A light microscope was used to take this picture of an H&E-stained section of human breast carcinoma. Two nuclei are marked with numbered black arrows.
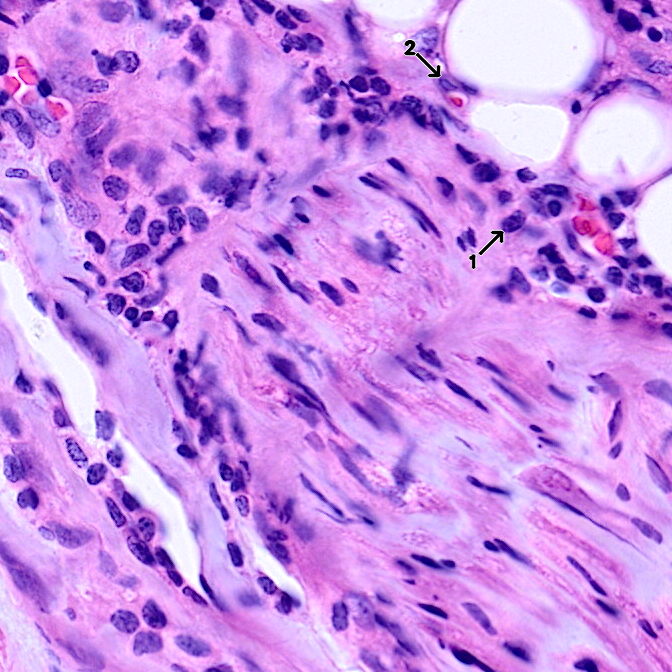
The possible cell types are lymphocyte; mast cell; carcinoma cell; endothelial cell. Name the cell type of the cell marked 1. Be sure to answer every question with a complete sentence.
The cell marked with the number 1 is a lymphocyte.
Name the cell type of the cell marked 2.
The cell pointed out as number 2 is an endothelial cell.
